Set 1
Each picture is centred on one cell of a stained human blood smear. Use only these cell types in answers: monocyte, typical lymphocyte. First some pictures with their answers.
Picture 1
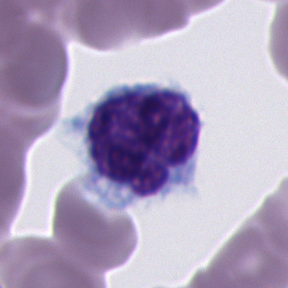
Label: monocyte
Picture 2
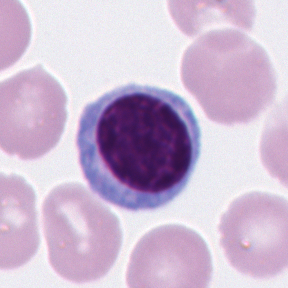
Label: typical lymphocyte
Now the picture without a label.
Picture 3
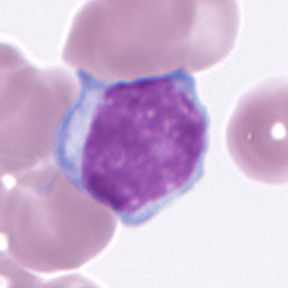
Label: typical lymphocyte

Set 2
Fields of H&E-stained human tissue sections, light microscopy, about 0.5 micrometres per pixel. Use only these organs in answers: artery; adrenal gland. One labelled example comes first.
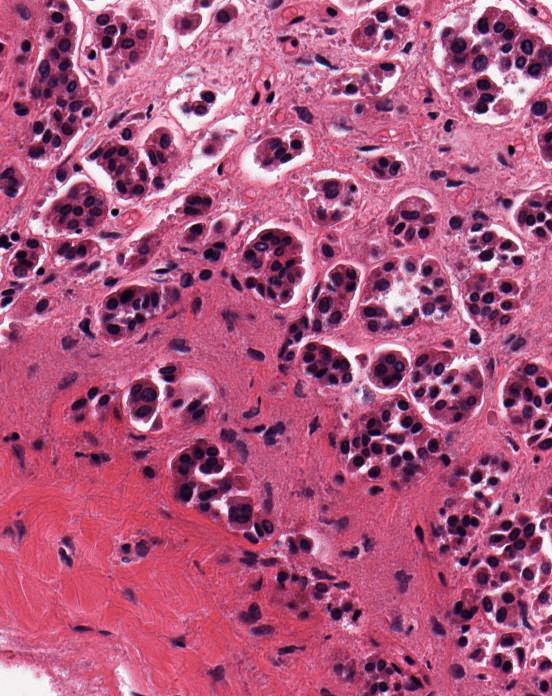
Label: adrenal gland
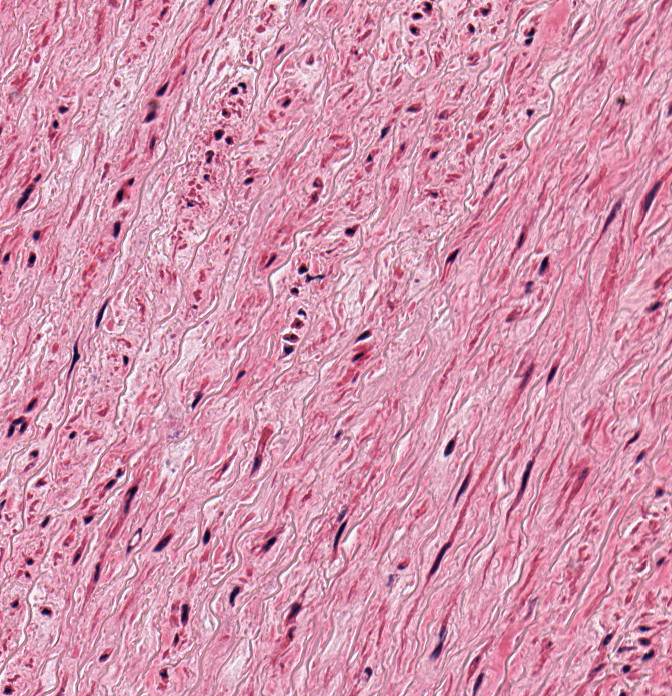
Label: artery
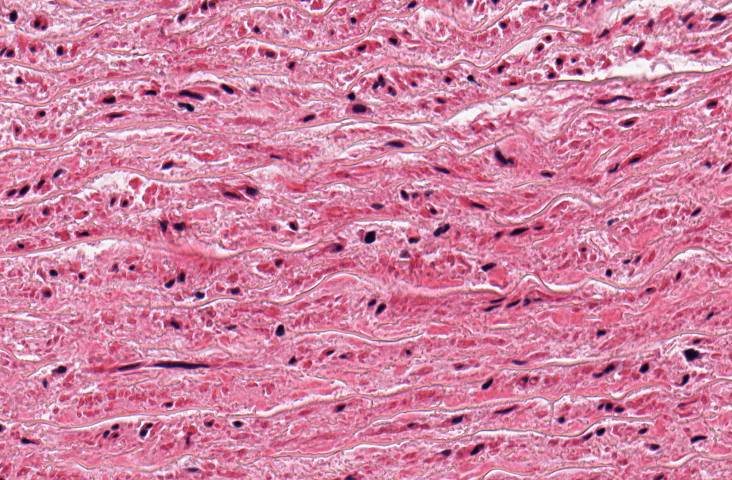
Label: artery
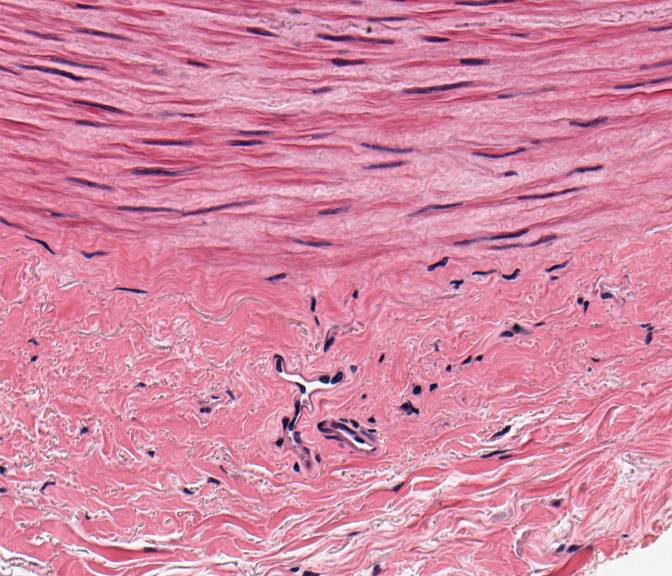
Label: artery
